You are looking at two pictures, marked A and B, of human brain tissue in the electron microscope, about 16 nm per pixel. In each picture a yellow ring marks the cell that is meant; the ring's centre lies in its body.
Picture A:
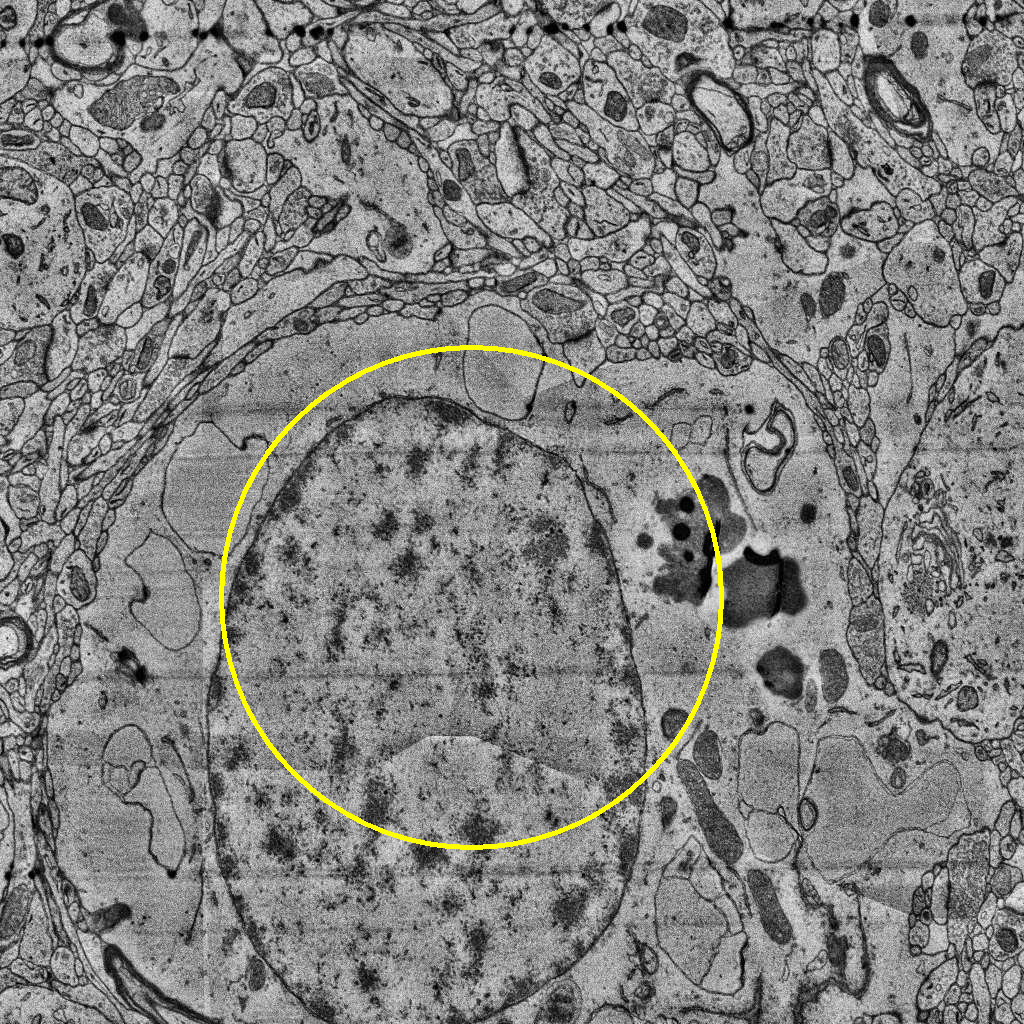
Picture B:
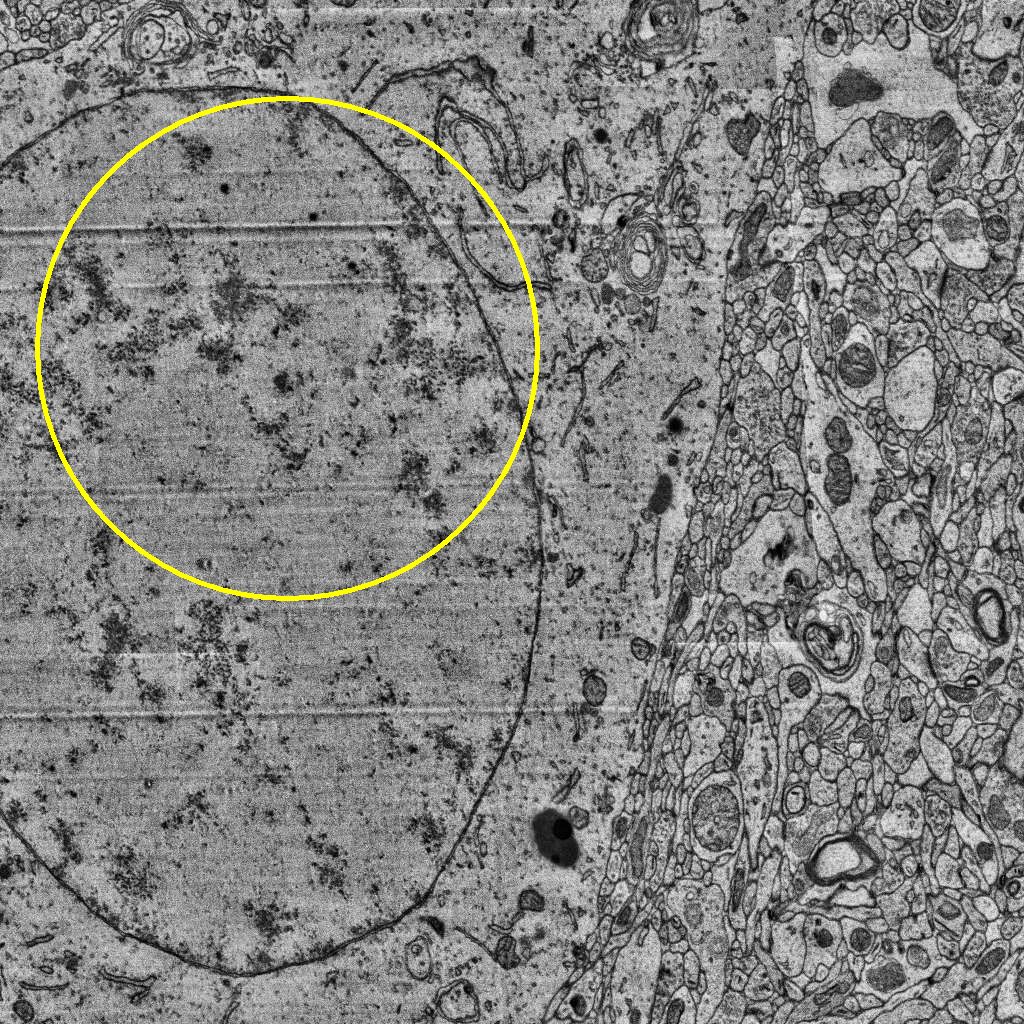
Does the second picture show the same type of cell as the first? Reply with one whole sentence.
No; the cell in picture A is an astrocyte, while the one in picture B is a pyramidal neuron.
